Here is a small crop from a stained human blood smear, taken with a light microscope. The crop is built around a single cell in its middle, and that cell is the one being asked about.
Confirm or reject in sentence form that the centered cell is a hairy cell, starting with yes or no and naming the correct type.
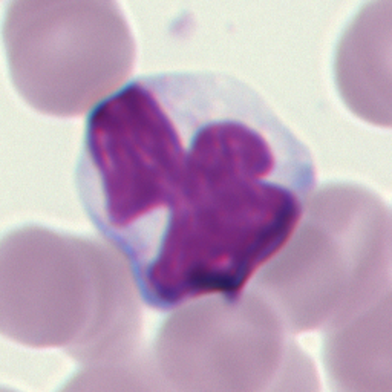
No, the central cell is classed as a large granular lymphocyte, not a hairy cell.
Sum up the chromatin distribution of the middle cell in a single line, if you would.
The nuclear chromatin is fine, showing no coarse aggregates.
